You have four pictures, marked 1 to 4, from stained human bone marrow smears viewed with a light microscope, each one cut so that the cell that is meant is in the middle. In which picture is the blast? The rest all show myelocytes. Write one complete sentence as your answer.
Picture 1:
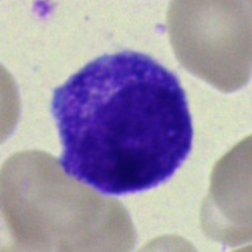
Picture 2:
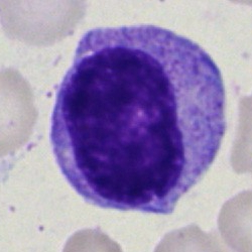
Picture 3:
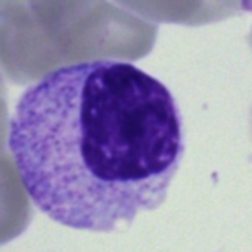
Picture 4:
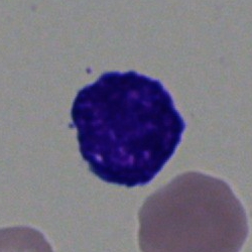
The picture with the blast is 4.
